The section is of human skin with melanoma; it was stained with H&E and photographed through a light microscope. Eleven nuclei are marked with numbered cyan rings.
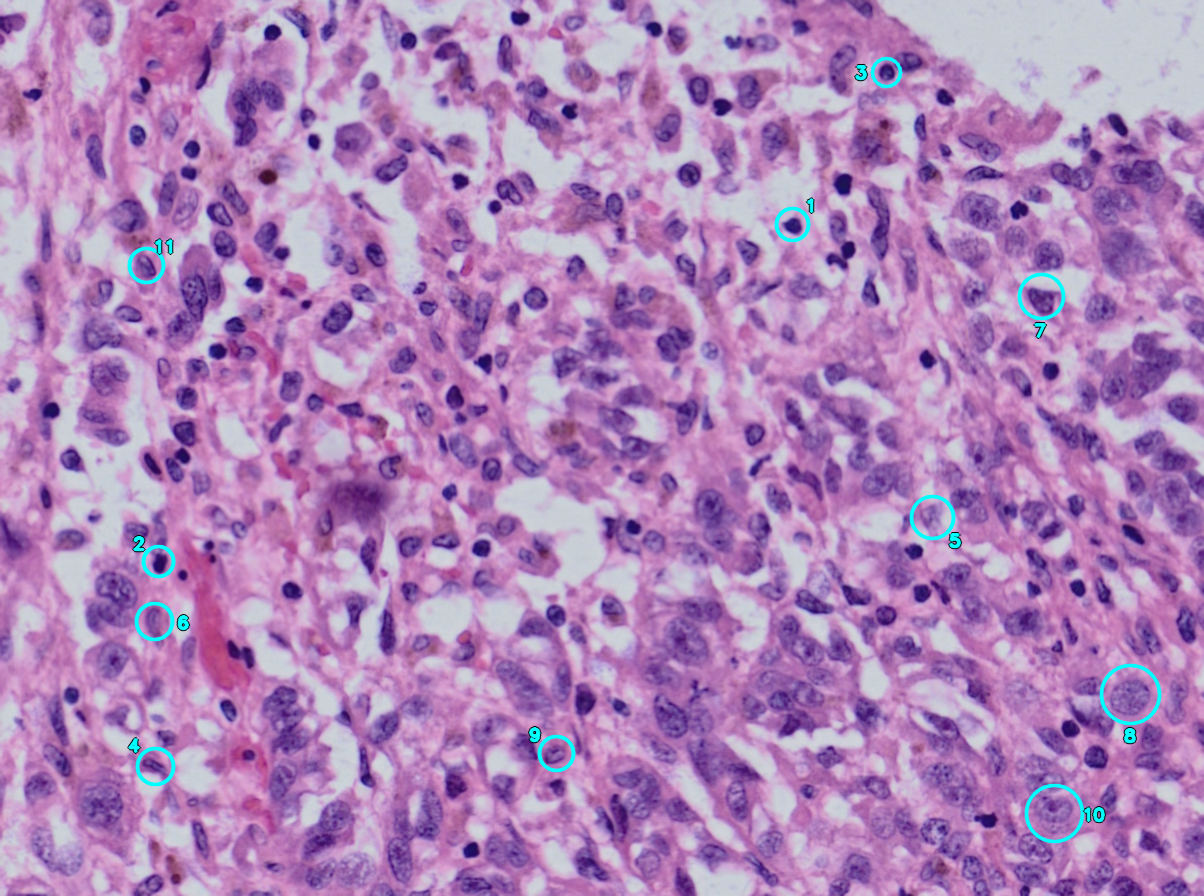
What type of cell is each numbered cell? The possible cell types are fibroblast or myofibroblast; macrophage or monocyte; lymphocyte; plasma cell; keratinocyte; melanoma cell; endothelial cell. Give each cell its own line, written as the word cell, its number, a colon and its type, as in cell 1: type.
cell 1: lymphocyte
cell 2: lymphocyte
cell 3: lymphocyte
cell 4: macrophage or monocyte
cell 5: melanoma cell
cell 6: macrophage or monocyte
cell 7: melanoma cell
cell 8: melanoma cell
cell 9: macrophage or monocyte
cell 10: melanoma cell
cell 11: macrophage or monocyte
